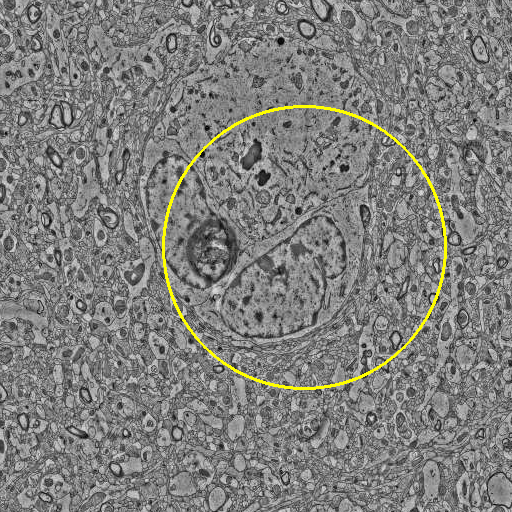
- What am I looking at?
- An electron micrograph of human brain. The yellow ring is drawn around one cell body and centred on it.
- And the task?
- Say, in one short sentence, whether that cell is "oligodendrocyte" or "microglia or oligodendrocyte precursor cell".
The cell in the middle of the ring is a microglial cell or oligodendrocyte precursor cell.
